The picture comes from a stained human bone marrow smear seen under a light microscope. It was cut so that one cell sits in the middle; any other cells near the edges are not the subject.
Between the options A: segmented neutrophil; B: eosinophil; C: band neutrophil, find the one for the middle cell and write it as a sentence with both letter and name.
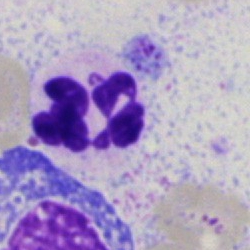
The best answer is option A, since the cell in the middle is a segmented neutrophil.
